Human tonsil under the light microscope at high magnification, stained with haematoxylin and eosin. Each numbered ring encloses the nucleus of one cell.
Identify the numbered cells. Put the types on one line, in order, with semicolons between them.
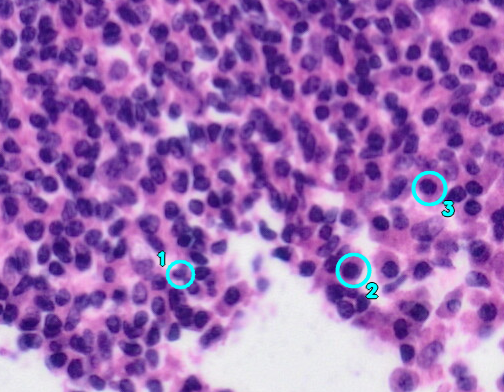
small lymphocyte; plasma cell; plasma cell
